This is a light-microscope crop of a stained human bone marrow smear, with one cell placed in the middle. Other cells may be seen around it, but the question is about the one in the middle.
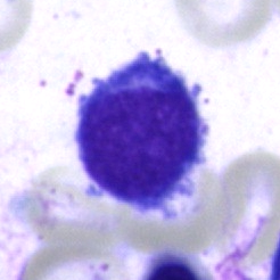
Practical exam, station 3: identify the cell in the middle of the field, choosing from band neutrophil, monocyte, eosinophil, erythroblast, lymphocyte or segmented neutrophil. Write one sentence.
Framed in the middle of the crop is a lymphocyte.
